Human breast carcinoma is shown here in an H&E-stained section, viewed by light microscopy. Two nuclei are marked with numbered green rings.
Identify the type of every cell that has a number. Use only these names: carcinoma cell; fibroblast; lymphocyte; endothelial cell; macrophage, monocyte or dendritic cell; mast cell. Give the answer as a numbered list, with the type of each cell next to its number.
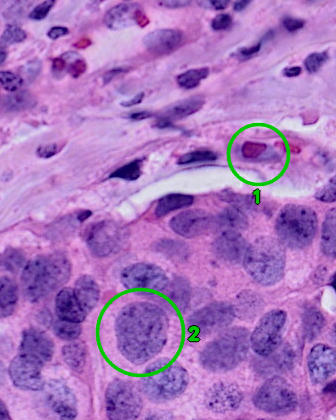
1. endothelial cell
2. carcinoma cell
